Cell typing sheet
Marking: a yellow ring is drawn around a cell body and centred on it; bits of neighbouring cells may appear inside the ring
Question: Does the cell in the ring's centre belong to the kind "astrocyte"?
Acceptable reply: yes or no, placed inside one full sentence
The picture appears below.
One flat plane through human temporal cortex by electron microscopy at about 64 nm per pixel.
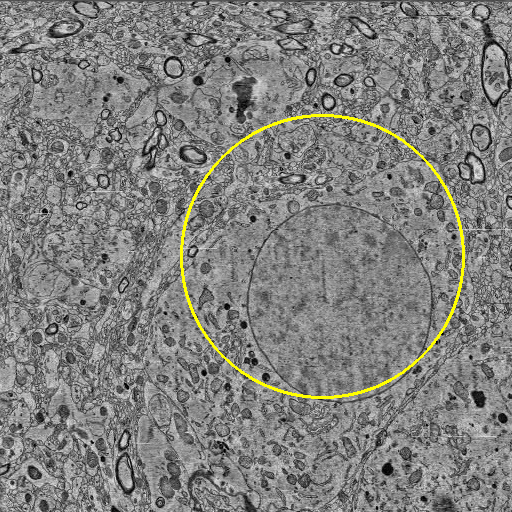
No, the cell at the centre of the ring belongs to a different kind.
